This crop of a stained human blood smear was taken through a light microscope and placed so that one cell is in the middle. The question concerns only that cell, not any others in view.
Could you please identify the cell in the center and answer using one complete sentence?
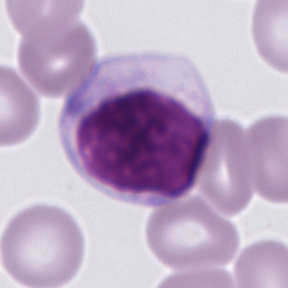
The cell at the heart of this crop is a large granular lymphocyte.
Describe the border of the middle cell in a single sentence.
Happy to help: the outline is smooth and shows no projections.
